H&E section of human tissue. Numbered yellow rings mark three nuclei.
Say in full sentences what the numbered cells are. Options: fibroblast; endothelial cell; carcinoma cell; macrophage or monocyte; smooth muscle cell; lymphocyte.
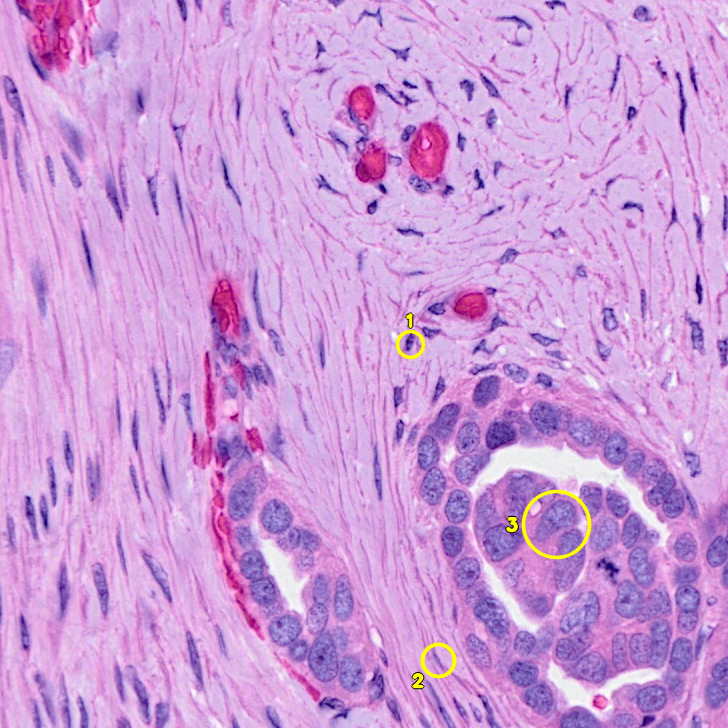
Cell 1 is a fibroblast, cell 2 is a fibroblast and cell 3 is a carcinoma cell.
